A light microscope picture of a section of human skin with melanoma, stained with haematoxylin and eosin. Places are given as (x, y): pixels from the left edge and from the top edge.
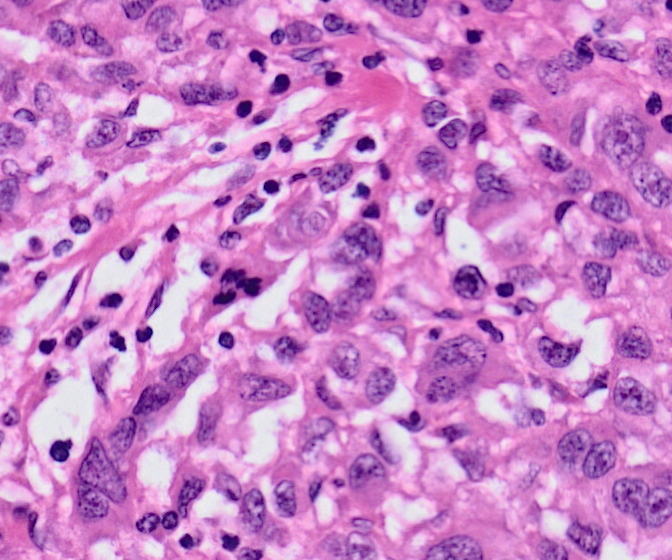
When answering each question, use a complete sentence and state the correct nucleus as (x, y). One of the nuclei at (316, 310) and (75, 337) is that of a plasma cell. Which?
The nucleus positioned at (75, 337) is the one that belongs to a plasma cell.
